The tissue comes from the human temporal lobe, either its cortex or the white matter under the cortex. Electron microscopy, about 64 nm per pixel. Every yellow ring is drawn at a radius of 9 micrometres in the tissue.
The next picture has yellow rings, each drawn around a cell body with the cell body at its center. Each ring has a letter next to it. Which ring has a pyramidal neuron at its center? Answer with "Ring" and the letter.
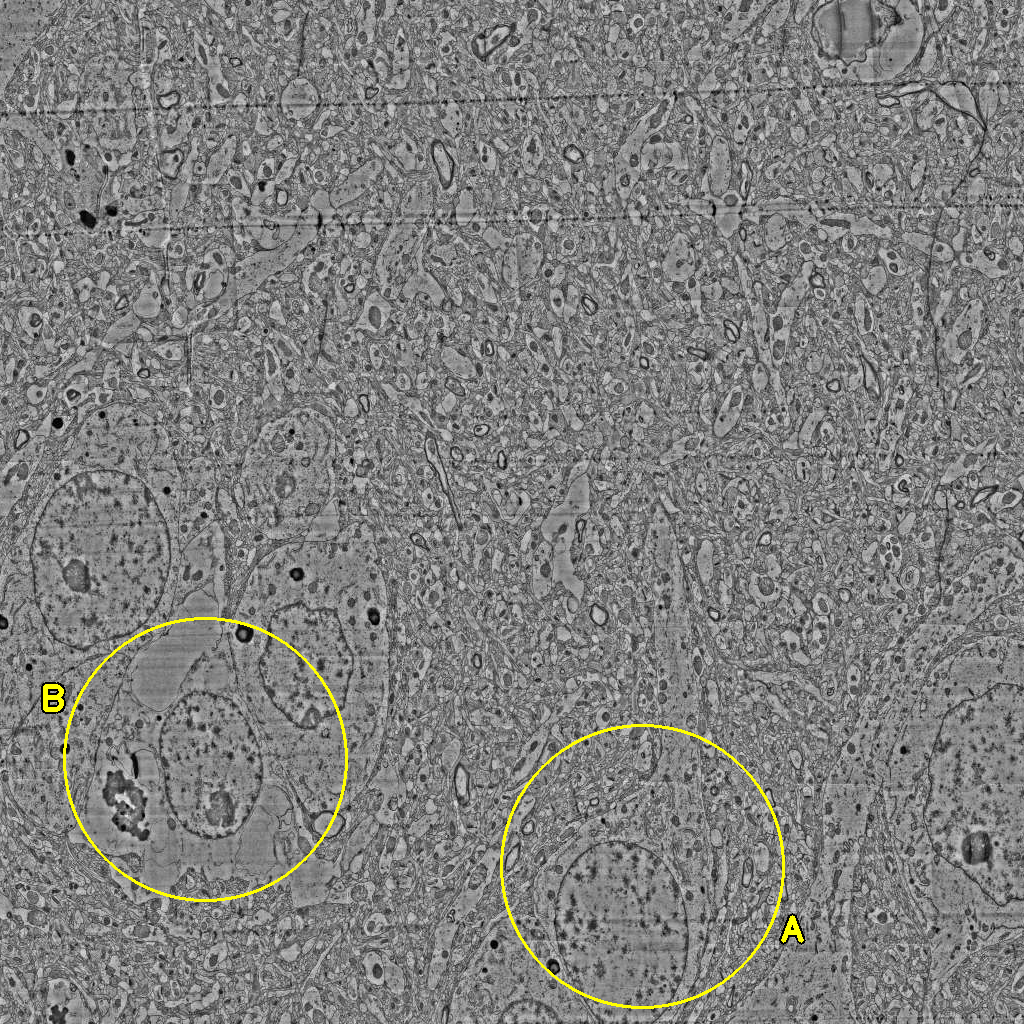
Ring A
